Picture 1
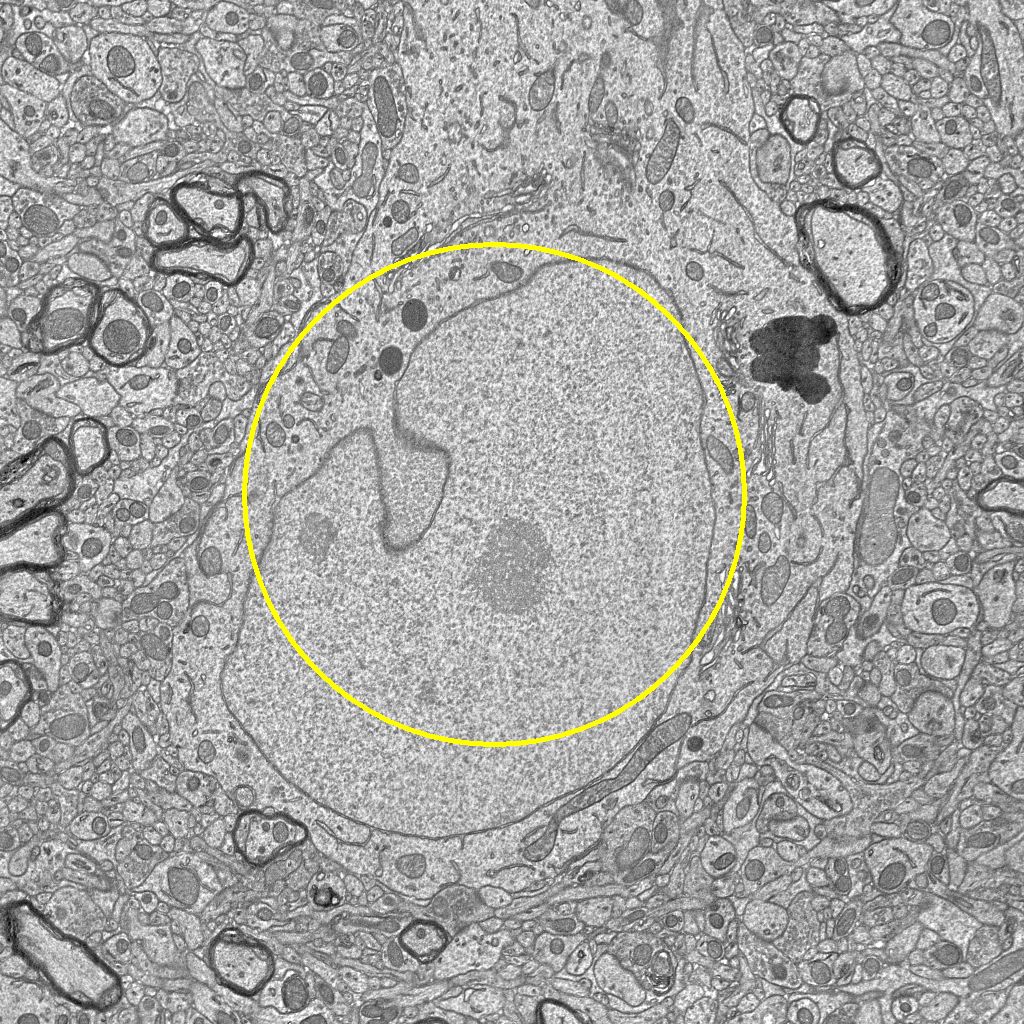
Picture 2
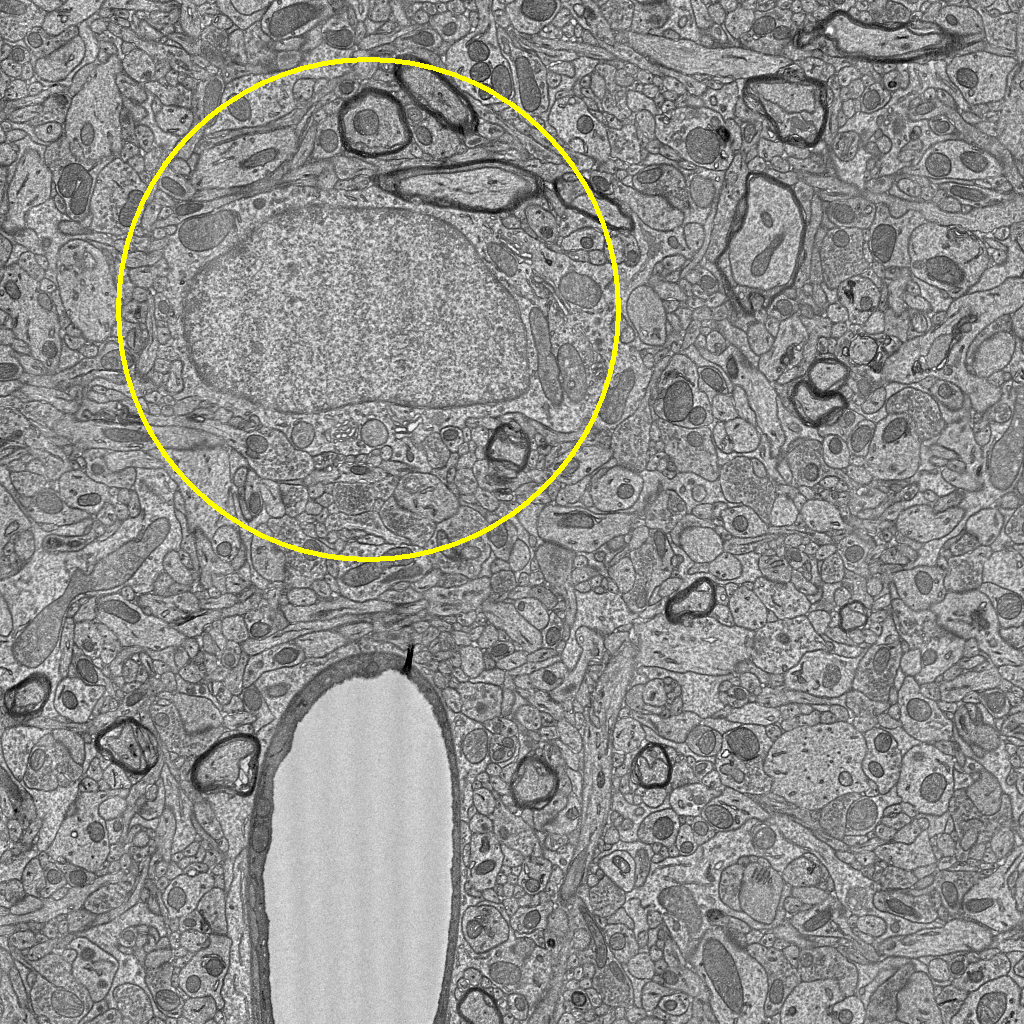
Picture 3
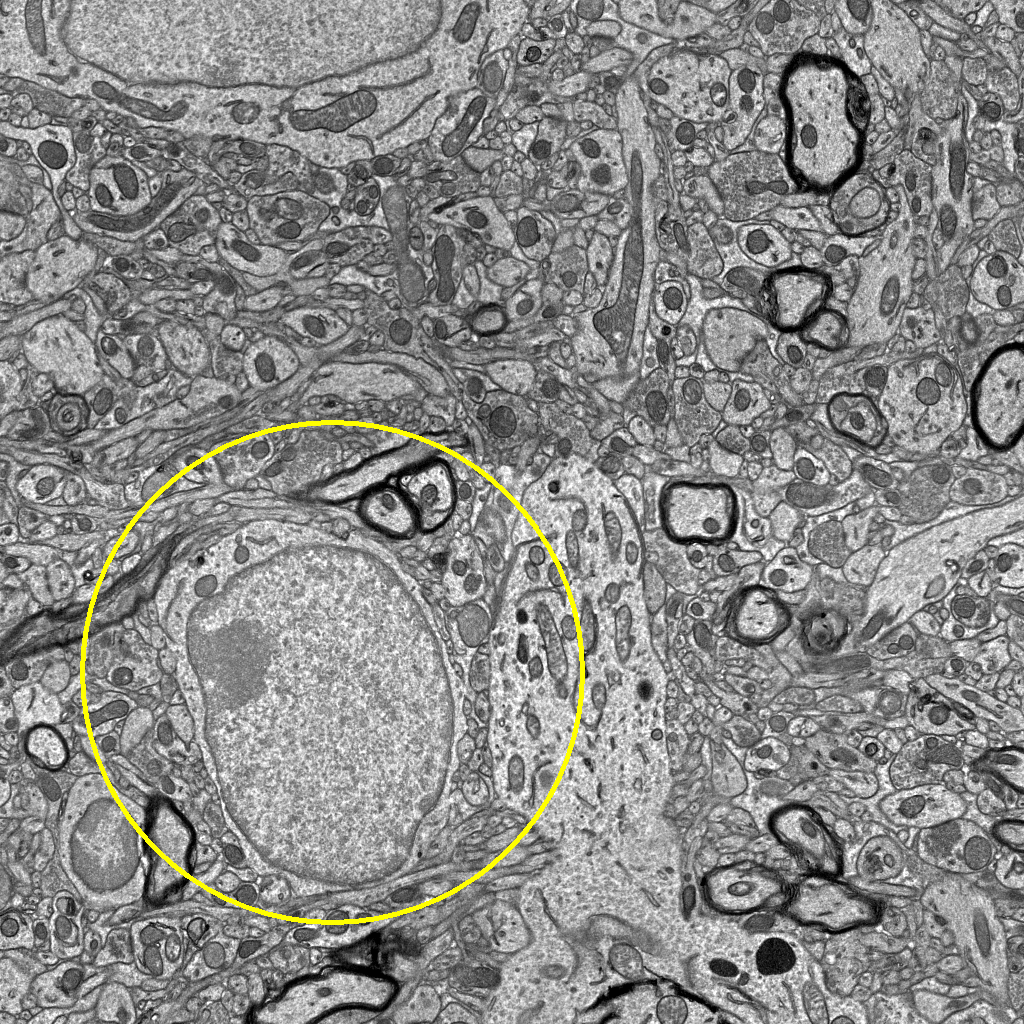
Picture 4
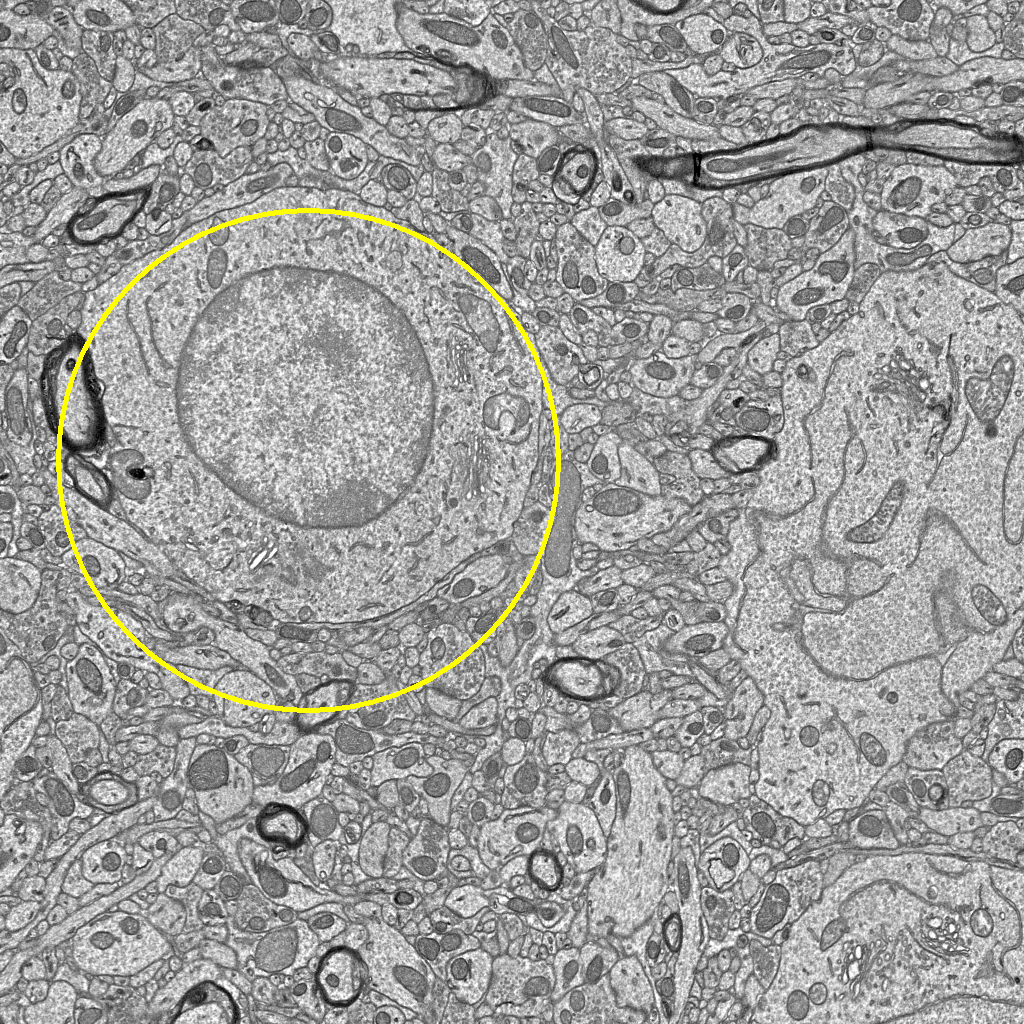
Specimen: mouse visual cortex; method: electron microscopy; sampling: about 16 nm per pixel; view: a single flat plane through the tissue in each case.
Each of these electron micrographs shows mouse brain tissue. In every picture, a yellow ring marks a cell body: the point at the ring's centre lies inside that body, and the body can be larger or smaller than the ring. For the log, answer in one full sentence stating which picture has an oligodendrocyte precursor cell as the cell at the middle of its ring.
In picture 3, the centre of the yellow ring lies inside the requested cell.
